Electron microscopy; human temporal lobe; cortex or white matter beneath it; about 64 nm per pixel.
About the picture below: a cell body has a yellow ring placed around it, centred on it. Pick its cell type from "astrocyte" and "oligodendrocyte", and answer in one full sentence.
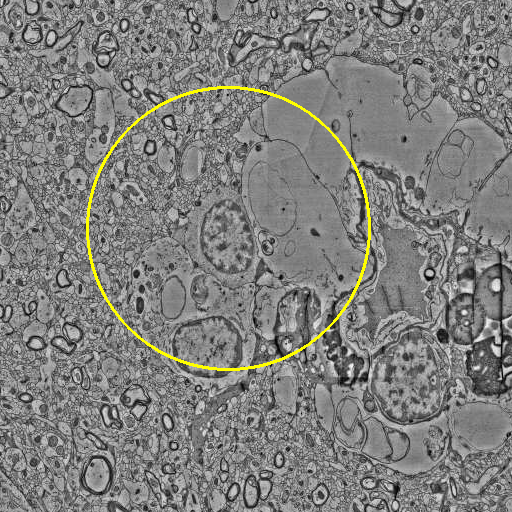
In the picture, an oligodendrocyte is the cell sitting at the centre of the yellow ring.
